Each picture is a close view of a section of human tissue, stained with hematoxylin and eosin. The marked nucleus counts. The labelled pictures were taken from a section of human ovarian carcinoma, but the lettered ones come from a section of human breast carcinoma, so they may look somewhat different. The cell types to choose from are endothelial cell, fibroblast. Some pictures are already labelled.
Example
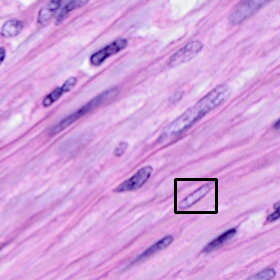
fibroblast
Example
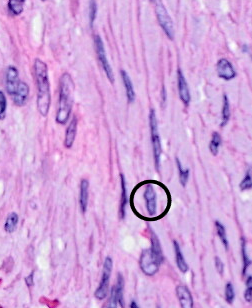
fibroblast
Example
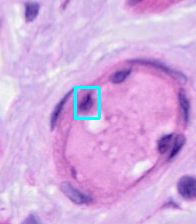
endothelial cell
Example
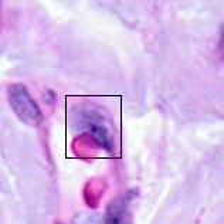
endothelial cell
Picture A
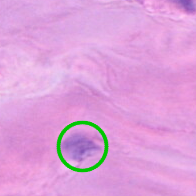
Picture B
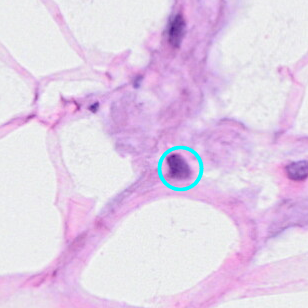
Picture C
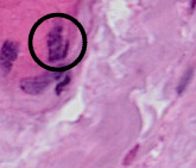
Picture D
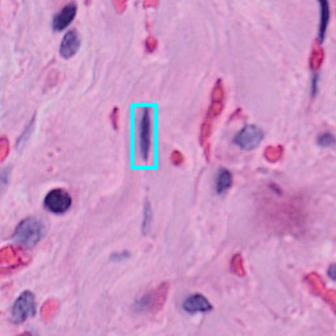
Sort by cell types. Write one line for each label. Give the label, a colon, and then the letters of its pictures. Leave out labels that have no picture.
endothelial cell: C
fibroblast: A, B, D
